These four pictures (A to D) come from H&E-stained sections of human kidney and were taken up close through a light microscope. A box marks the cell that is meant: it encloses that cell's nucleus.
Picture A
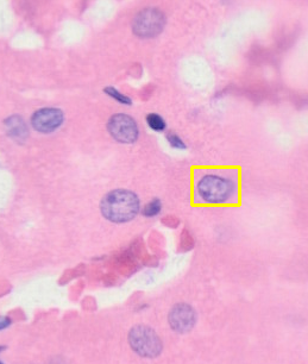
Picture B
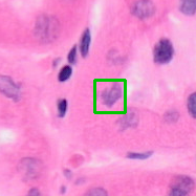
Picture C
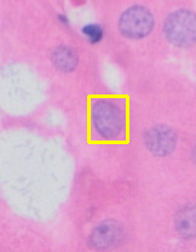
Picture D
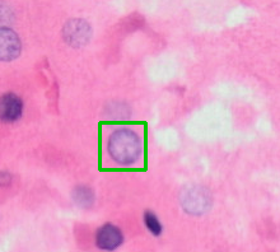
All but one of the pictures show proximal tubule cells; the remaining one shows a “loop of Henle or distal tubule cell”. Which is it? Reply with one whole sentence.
The “loop of Henle or distal tubule cell” is the one in picture B.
